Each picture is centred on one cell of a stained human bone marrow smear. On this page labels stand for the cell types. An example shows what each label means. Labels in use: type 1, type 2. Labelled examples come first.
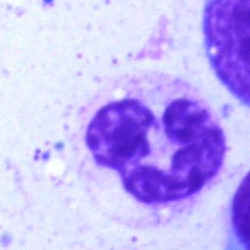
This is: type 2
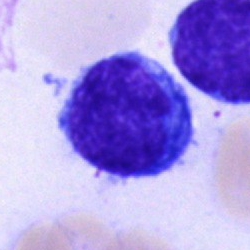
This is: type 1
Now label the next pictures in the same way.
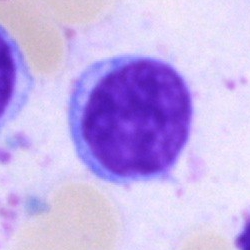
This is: type 1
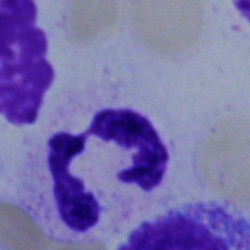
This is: type 2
